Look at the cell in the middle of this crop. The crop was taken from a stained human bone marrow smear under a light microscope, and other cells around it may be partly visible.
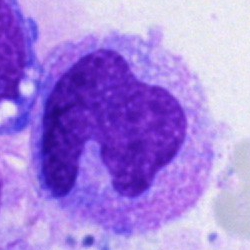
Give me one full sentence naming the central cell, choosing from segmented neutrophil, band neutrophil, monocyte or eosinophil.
The crop shows a monocyte in its centre.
